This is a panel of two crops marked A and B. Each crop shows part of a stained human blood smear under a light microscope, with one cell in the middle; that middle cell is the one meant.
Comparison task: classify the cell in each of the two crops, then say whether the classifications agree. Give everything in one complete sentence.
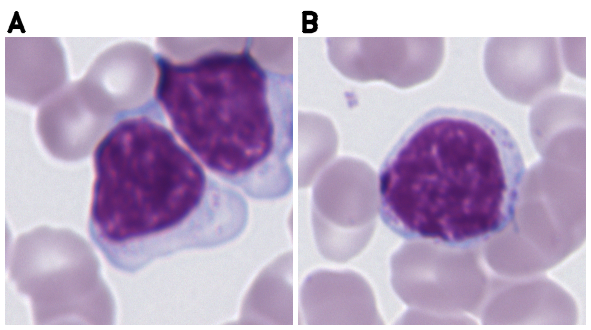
Yes, both crops show large granular lymphocytes, and nothing else needs adding.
